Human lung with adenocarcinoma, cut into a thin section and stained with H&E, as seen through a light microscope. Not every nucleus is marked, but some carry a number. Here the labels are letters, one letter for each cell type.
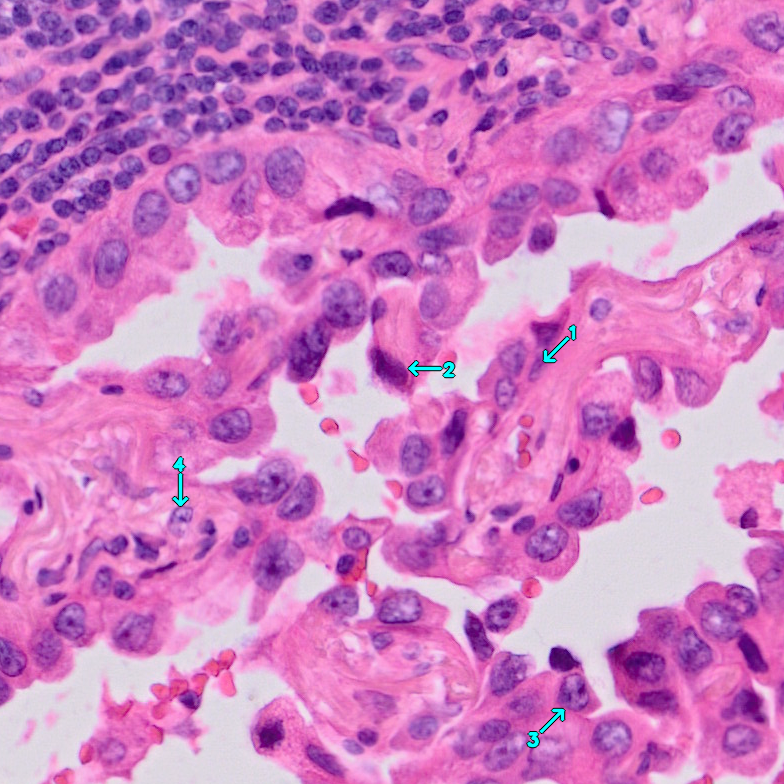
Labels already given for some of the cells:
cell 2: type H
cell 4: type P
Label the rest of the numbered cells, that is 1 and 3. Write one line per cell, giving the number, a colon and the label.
1: type H
3: type H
